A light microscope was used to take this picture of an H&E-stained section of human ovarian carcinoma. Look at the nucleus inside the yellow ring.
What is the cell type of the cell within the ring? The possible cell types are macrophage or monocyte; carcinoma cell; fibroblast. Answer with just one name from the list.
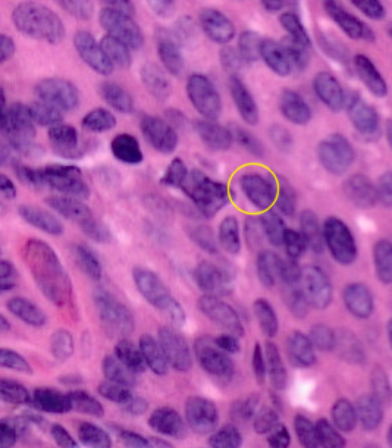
carcinoma cell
